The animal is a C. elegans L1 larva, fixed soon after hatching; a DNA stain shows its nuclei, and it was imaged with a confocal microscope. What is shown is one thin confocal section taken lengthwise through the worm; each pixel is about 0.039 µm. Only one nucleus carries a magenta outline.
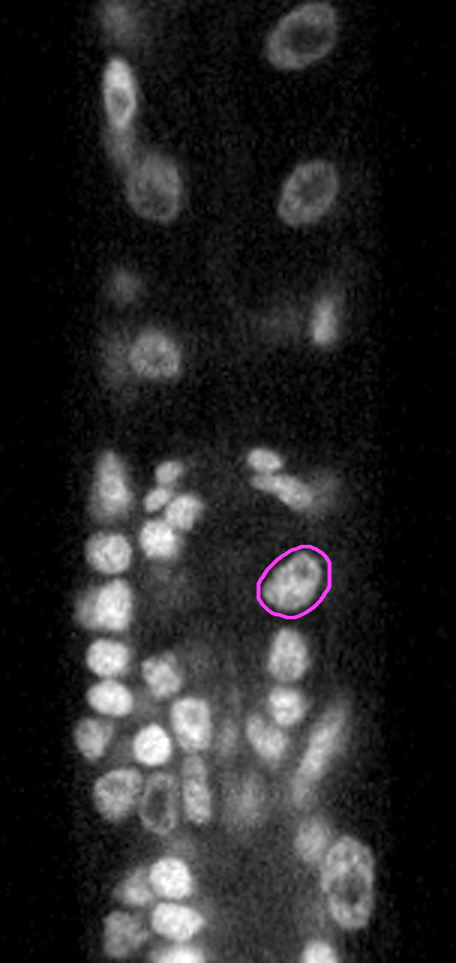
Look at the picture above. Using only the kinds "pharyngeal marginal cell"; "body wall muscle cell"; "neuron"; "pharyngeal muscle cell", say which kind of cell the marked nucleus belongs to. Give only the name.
pharyngeal muscle cell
